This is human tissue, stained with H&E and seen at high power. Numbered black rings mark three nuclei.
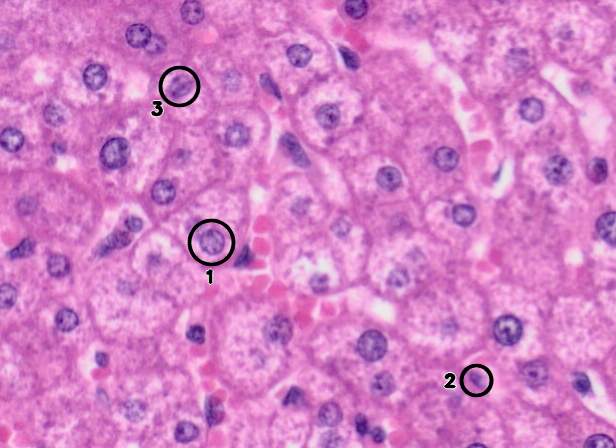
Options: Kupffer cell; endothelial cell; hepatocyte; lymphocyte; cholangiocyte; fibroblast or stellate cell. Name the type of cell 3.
hepatocyte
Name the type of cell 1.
hepatocyte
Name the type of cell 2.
Kupffer cell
